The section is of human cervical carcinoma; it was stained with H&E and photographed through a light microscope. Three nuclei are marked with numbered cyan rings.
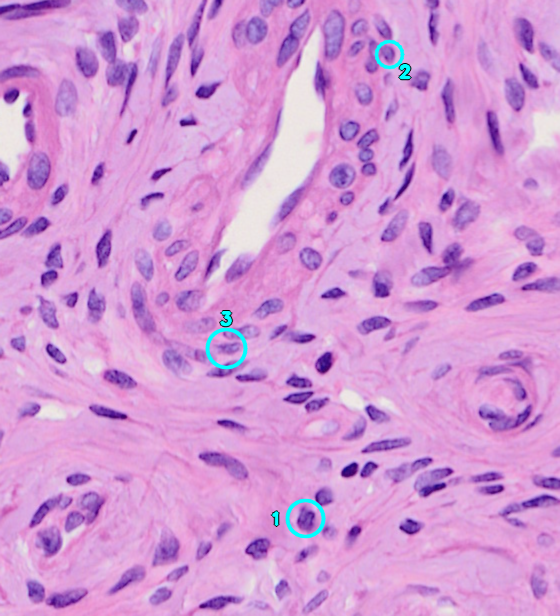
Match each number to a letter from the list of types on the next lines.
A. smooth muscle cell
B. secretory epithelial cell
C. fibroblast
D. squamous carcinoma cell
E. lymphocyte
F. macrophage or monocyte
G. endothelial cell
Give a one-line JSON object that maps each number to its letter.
{"1": "C", "2": "A", "3": "A"}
